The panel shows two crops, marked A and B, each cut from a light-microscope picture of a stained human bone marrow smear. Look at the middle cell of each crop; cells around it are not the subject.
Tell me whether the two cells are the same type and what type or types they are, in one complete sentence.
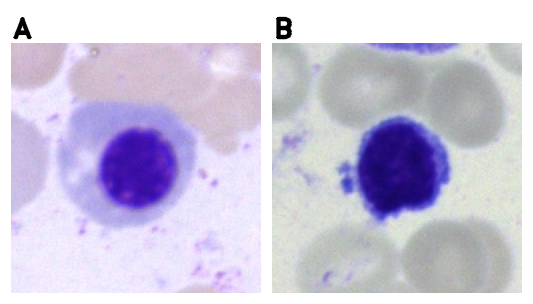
No, crop B shows a lymphocyte, and crop A shows an erythroblast.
